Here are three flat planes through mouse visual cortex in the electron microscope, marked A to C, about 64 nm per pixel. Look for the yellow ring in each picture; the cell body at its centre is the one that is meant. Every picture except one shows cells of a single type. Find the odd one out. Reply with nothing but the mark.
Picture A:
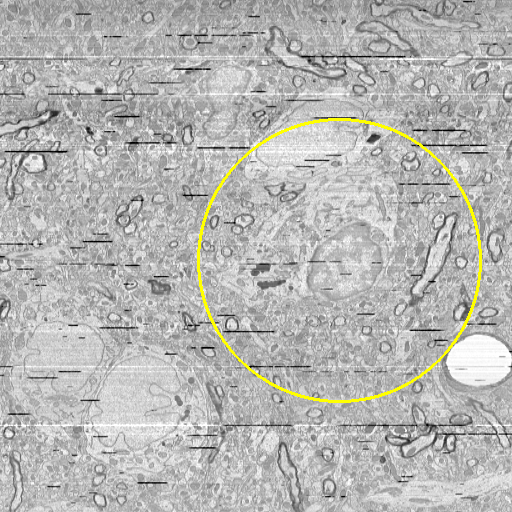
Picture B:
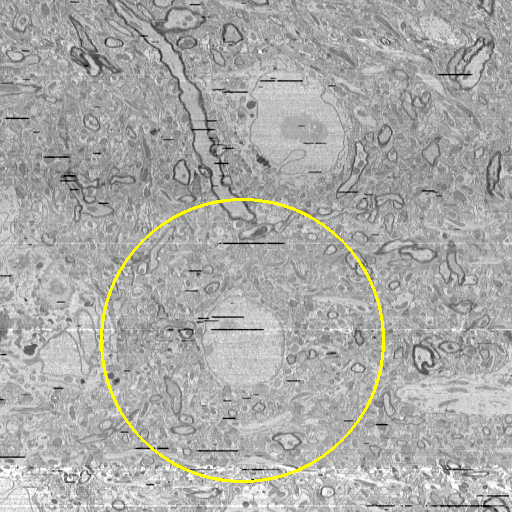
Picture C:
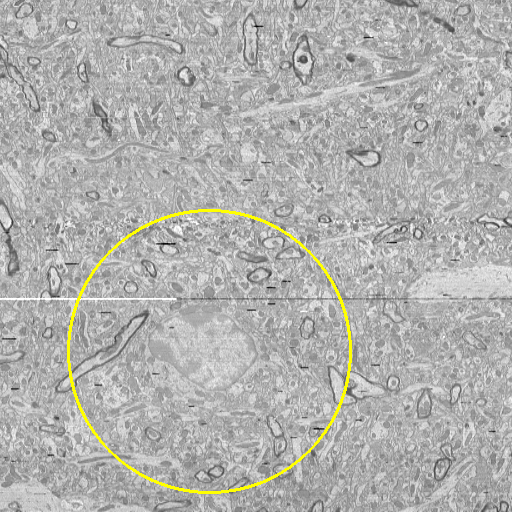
B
